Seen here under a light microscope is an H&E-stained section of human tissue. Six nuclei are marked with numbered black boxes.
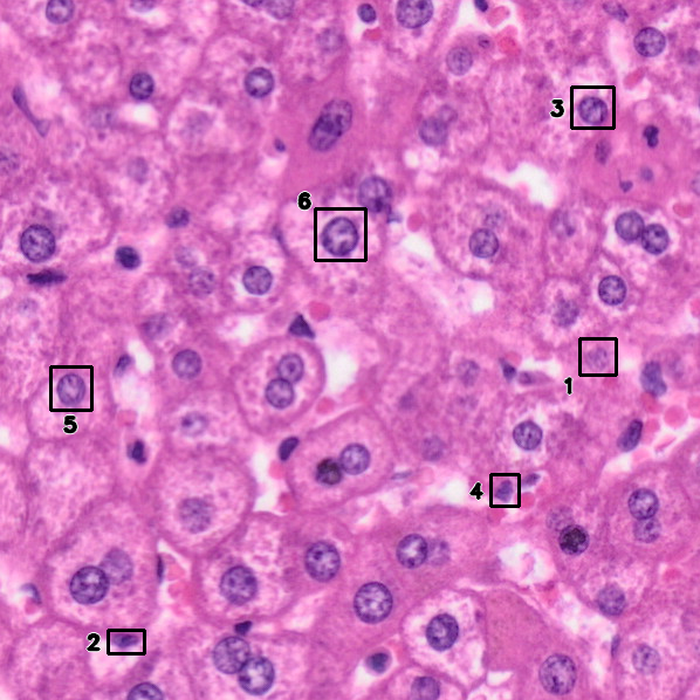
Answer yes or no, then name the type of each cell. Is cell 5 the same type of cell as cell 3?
Yes, both are hepatocytes.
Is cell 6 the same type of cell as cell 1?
Yes, both are hepatocytes.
